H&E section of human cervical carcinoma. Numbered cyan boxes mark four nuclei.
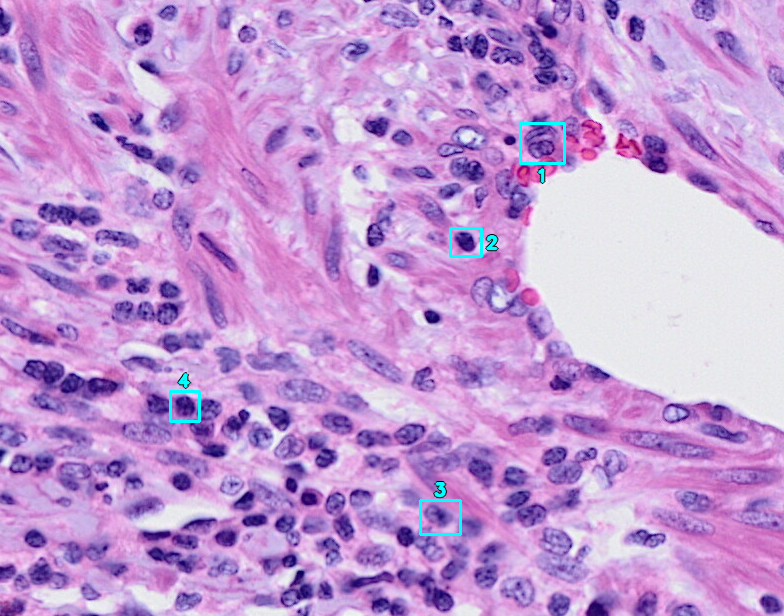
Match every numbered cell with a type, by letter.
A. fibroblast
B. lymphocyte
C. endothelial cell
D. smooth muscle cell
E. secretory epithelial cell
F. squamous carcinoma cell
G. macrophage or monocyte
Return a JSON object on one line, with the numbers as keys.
{"1": "C", "2": "B", "3": "B", "4": "B"}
